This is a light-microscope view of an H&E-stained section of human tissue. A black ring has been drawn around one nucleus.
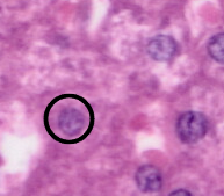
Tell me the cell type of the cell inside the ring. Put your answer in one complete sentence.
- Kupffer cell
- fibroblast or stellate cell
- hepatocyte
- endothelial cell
This is a hepatocyte.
